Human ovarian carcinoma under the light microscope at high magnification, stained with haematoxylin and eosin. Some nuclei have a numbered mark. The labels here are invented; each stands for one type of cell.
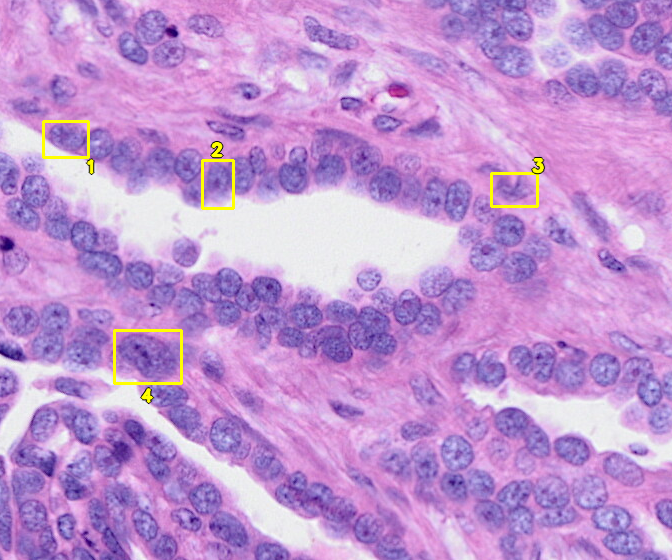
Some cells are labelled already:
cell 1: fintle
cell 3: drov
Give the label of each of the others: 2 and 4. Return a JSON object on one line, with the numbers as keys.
{"2": "fintle", "4": "fintle"}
